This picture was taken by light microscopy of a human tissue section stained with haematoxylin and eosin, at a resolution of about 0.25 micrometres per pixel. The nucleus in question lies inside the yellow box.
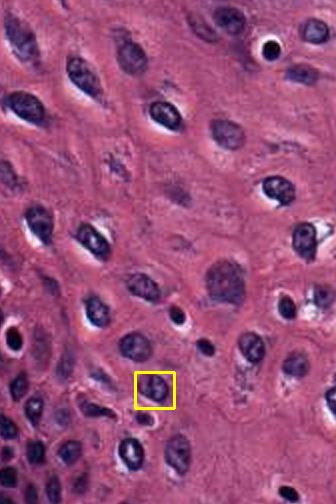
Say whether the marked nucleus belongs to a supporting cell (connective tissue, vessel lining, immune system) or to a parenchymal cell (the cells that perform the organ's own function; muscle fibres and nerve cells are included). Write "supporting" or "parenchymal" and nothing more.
parenchymal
